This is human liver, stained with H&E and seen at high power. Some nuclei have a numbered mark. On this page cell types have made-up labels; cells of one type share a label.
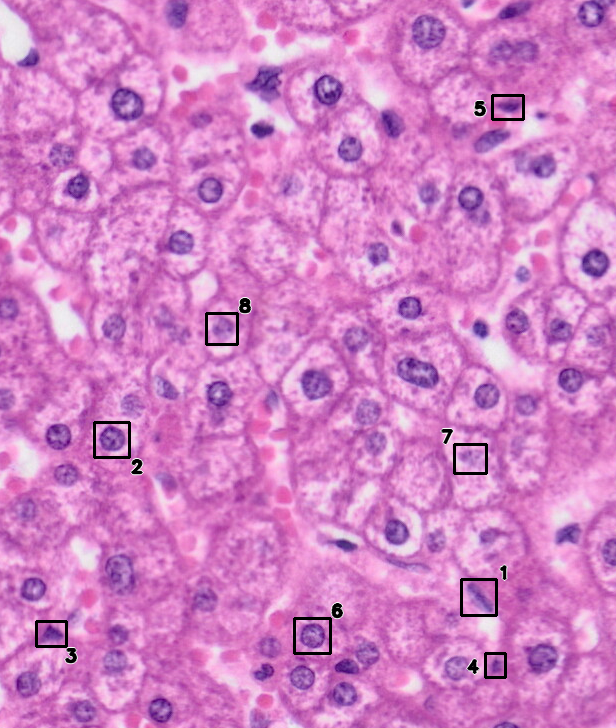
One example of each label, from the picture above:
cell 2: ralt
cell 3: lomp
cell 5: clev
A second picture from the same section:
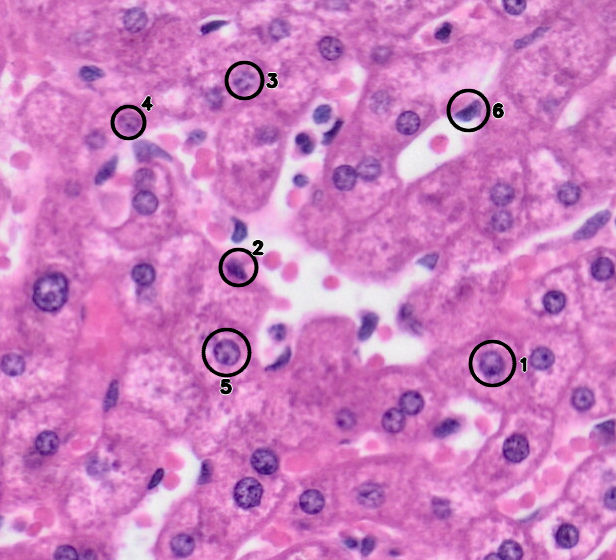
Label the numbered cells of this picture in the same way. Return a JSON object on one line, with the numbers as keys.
{"1": "ralt", "2": "lomp", "3": "ralt", "4": "ralt", "5": "ralt", "6": "clev"}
